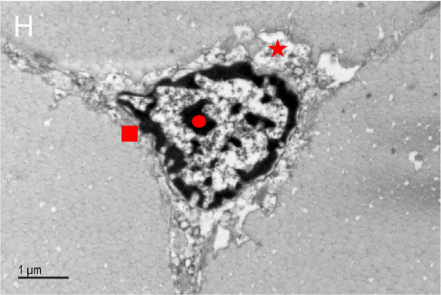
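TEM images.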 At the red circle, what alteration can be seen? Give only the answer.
dense chromatin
